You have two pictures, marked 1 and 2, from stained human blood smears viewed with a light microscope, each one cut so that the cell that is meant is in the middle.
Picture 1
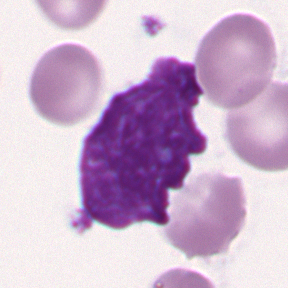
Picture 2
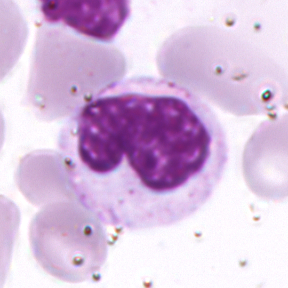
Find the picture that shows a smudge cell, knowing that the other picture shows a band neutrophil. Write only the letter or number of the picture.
1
